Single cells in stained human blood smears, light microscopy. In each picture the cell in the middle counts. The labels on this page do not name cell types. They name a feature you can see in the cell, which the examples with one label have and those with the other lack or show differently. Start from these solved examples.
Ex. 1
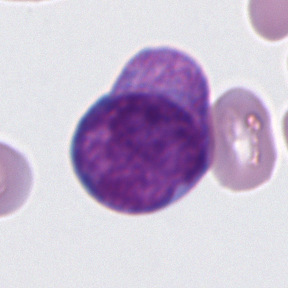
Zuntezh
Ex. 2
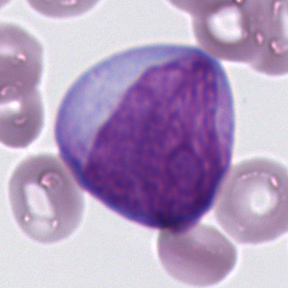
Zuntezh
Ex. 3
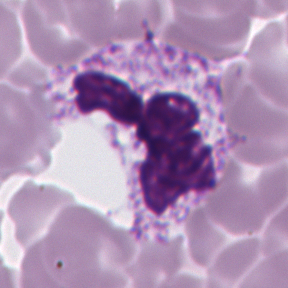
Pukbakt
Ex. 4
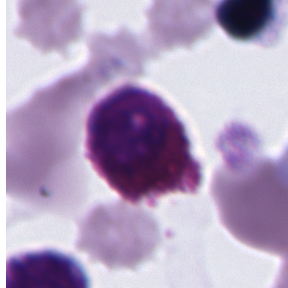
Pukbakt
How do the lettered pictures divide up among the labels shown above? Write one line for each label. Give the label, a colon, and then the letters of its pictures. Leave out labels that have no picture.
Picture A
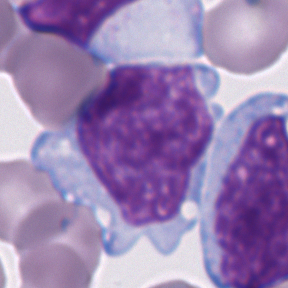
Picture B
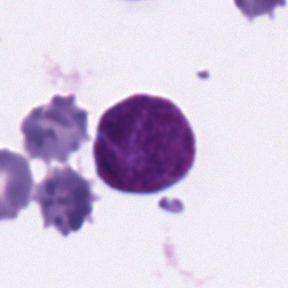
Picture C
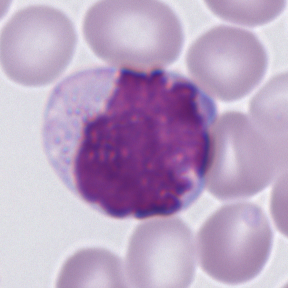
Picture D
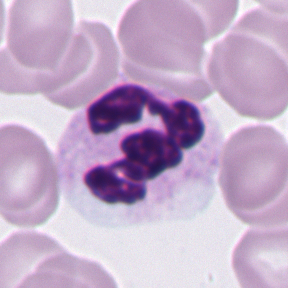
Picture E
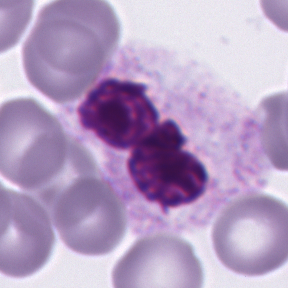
Zuntezh: B, C, D
Pukbakt: A, E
